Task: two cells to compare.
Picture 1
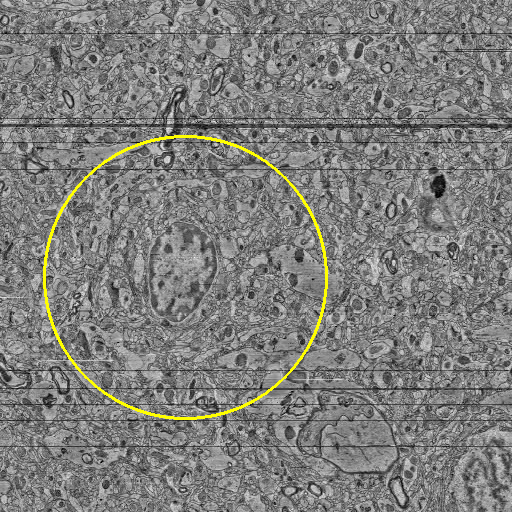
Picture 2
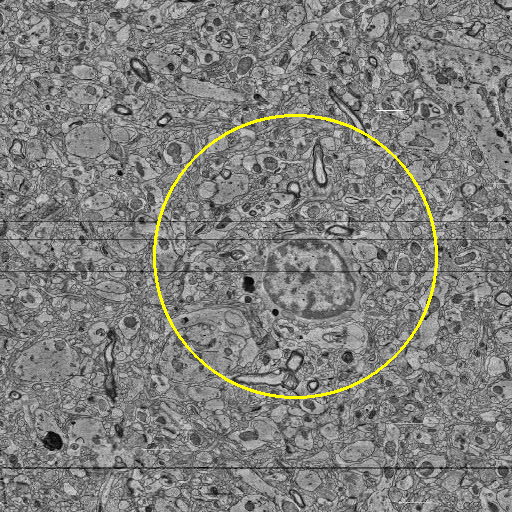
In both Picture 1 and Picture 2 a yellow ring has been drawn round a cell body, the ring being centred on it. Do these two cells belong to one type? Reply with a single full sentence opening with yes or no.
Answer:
No, the two cells at the ring centres in Picture 1 and Picture 2 are of two types.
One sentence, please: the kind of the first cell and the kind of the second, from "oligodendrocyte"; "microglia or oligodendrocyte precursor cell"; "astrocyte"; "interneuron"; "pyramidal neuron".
The ring in the first picture surrounds a microglial cell or oligodendrocyte precursor cell, and the ring in the second surrounds an oligodendrocyte.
